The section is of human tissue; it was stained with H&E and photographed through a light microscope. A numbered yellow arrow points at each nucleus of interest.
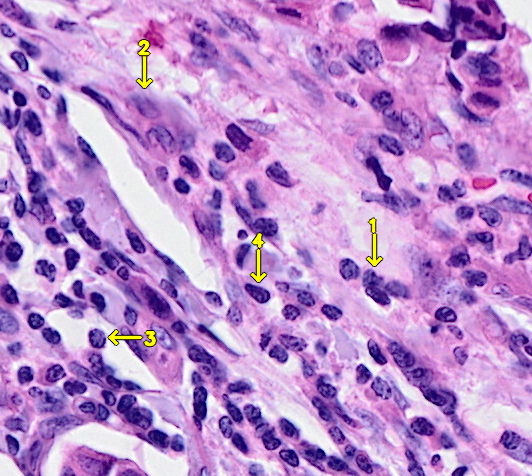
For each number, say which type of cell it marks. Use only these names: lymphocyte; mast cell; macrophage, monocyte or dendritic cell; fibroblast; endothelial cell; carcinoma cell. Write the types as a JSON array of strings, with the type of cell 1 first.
["lymphocyte", "endothelial cell", "lymphocyte", "lymphocyte"]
